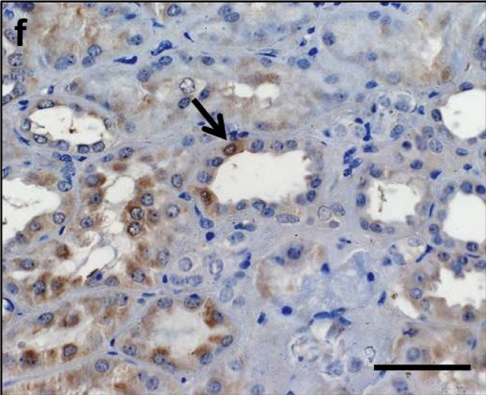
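Renal tubules cut in cross-section, lined by cuboidal epithelial cells with round blue nuclei around open lumens. Brown cytoplasmic staining is patchy, strong in some tubules on the left and confined to only a few cells in others. Interstitial cells with small dark blue nuclei lie between the tubules.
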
